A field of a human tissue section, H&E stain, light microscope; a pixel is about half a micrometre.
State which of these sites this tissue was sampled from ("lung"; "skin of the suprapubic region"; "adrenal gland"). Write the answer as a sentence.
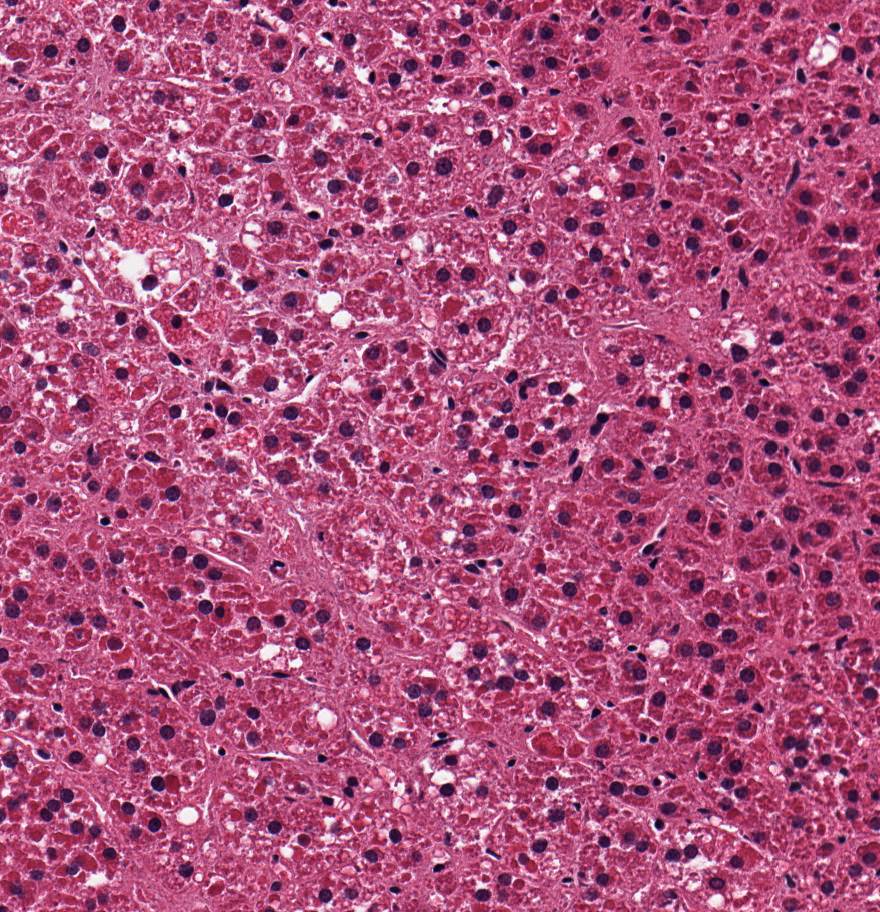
The site this tissue was sampled from is the adrenal gland.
